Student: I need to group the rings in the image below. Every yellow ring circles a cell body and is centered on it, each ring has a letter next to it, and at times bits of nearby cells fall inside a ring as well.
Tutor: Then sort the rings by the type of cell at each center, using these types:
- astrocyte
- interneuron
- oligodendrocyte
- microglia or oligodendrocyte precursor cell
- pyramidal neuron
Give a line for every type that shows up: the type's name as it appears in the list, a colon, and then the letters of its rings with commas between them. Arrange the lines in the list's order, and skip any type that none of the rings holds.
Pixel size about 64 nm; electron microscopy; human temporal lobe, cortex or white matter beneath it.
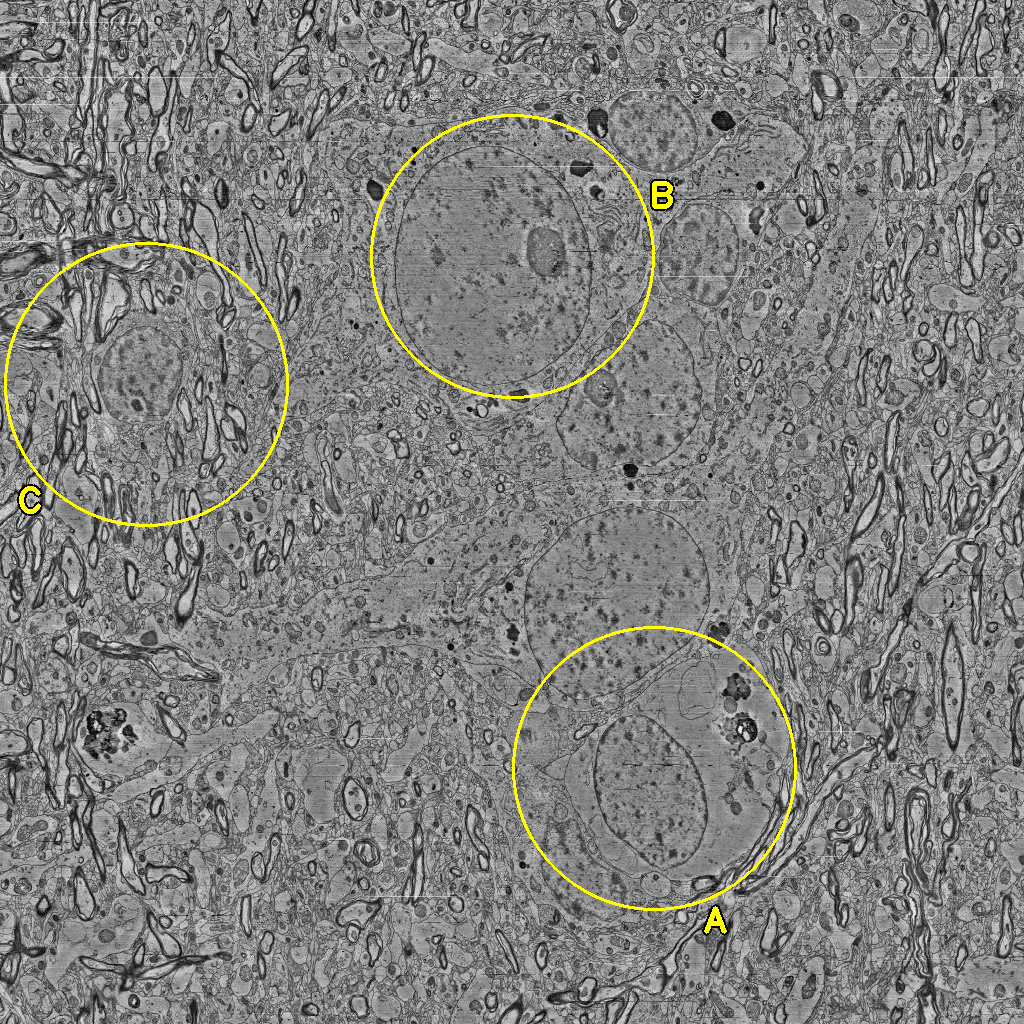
astrocyte: A
oligodendrocyte: C
pyramidal neuron: B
